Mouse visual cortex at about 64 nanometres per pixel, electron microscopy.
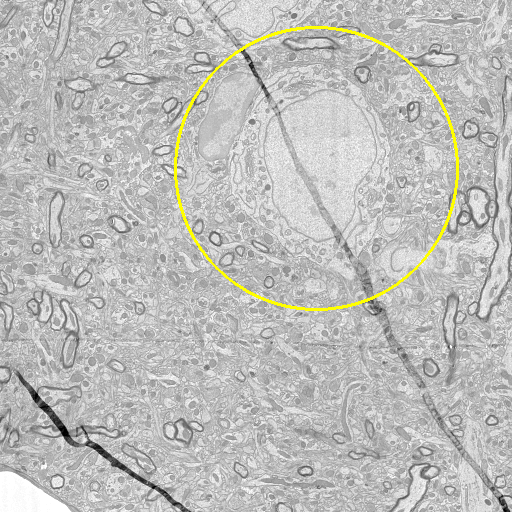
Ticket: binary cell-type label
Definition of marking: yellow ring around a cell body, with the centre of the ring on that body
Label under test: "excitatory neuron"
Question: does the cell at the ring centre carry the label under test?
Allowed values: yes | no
no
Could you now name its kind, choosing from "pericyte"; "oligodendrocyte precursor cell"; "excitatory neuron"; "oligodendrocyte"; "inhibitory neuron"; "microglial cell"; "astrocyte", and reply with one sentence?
The cell shown in the ring is an inhibitory neuron.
